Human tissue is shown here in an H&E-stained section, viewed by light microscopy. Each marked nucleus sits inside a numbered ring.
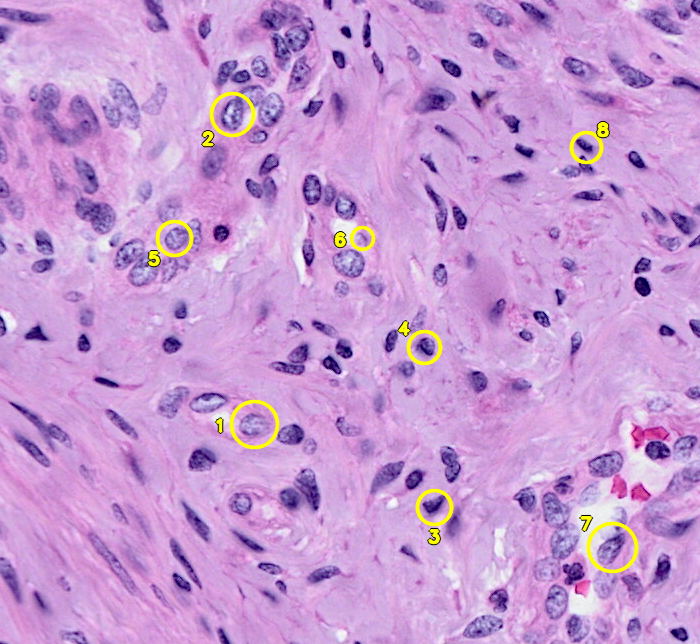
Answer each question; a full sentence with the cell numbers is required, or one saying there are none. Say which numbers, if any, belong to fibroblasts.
The cells numbered 3, 4 and 8 fall into the category of fibroblasts.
